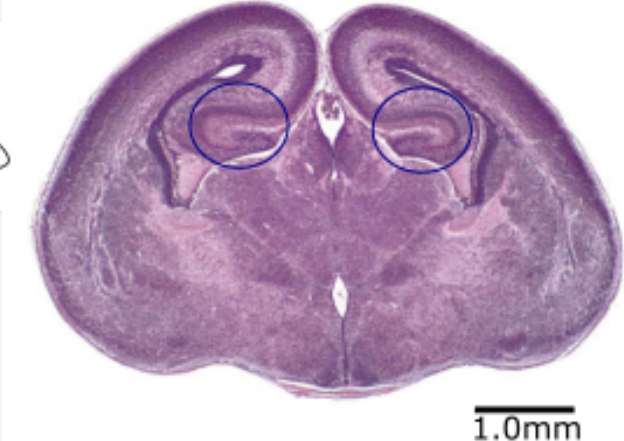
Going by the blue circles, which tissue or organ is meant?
Hippocampus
